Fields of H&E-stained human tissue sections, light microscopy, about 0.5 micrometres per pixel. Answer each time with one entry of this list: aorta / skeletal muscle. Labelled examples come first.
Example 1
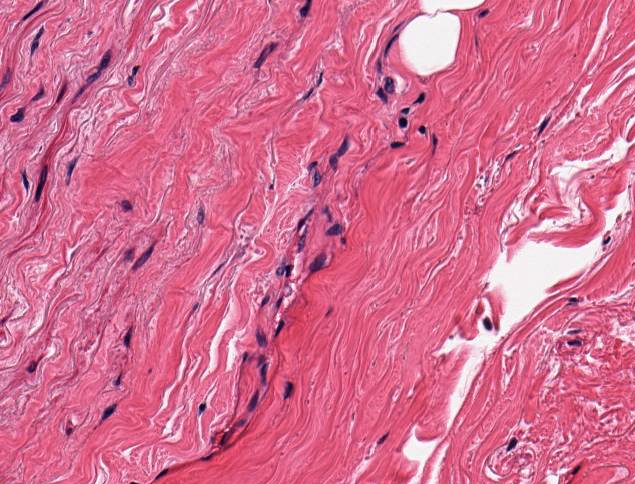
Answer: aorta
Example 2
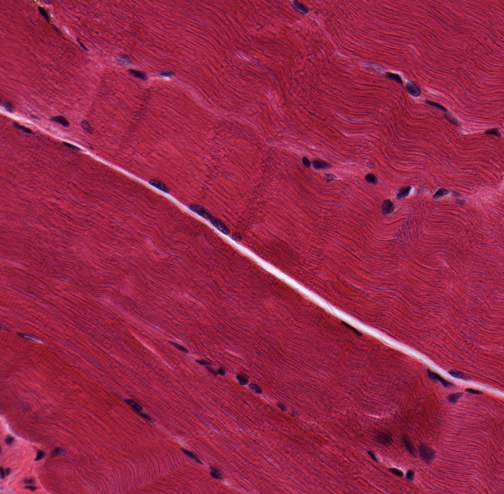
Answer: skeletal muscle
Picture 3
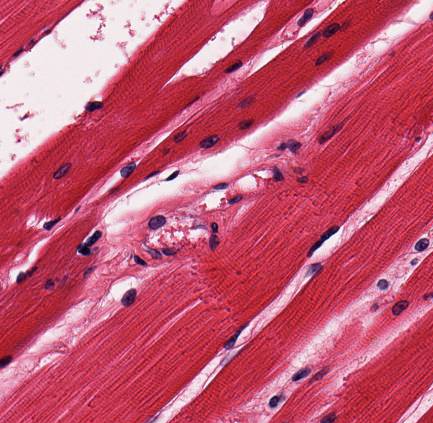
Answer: skeletal muscle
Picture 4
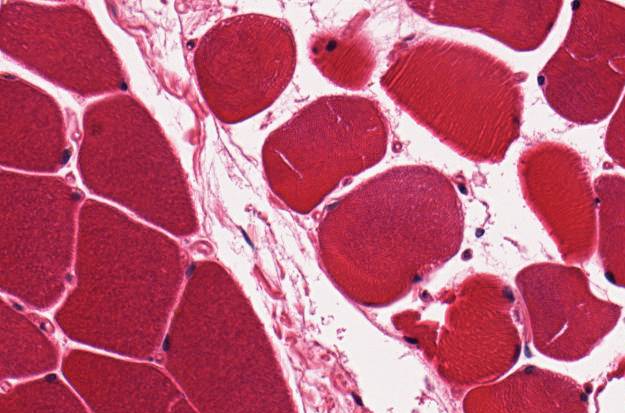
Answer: skeletal muscle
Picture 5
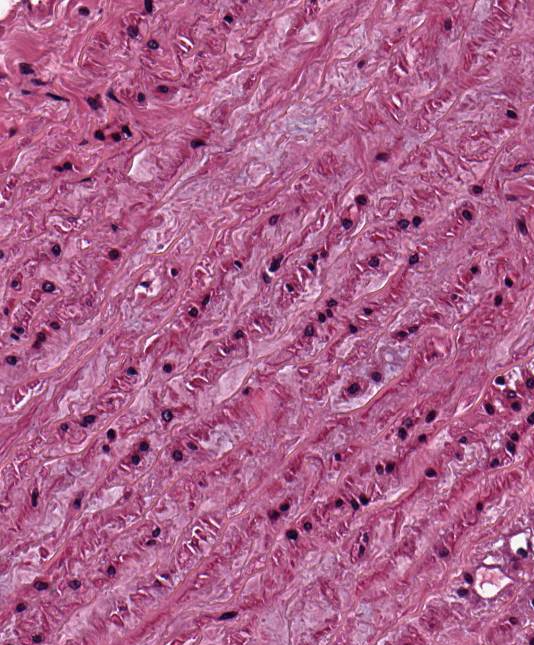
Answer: aorta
